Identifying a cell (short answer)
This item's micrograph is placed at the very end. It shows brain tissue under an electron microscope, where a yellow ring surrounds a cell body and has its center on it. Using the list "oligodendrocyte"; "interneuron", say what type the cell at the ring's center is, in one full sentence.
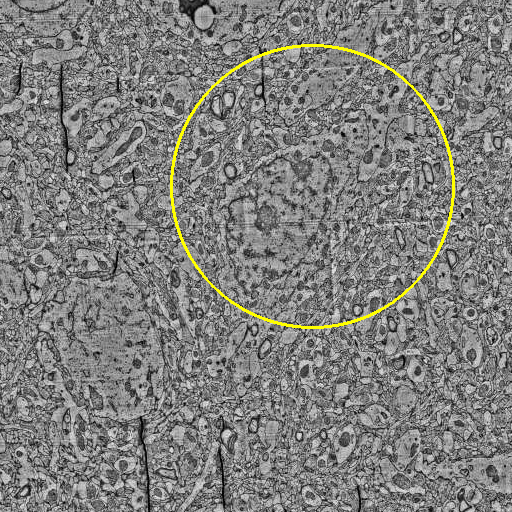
This picture shows an interneuron at the center of the yellow ring drawn on it.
